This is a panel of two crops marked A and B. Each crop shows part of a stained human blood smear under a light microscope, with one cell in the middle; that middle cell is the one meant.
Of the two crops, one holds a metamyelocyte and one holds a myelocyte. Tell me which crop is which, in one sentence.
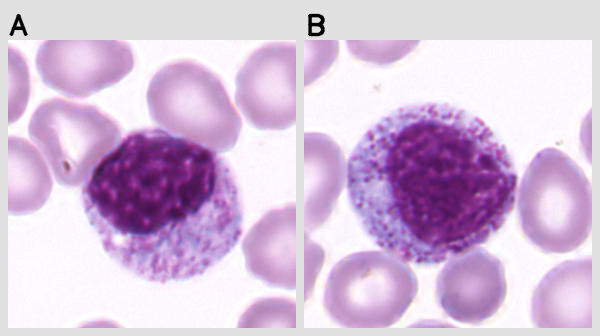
Classification: crop A is a metamyelocyte, crop B is a myelocyte.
